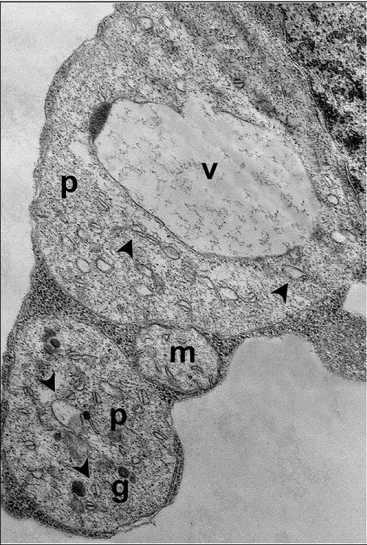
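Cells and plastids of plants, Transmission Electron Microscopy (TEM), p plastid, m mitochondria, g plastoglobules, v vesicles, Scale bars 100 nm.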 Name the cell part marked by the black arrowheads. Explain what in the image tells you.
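The arrowheads point to short, sparse single membranes inside the organelles. No dark membrane stacks are present. On this evidence: rudimentary thylakoids.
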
